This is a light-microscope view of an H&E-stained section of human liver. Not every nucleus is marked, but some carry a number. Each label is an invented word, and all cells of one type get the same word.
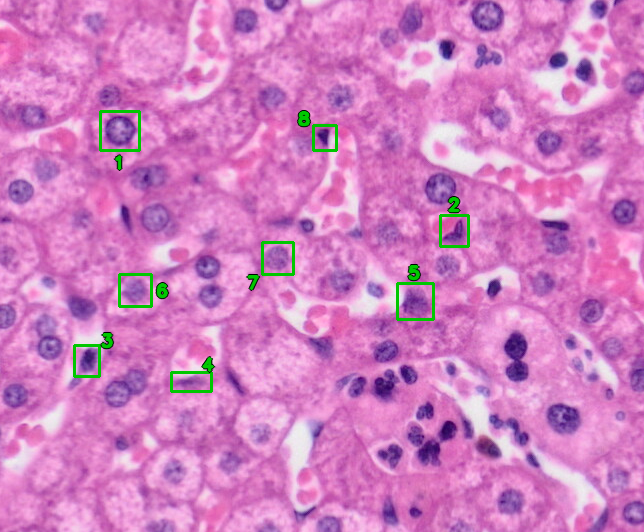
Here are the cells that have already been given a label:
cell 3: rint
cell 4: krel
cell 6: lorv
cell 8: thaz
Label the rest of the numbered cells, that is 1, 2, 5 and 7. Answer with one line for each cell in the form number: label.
1: lorv
2: krel
5: krel
7: lorv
